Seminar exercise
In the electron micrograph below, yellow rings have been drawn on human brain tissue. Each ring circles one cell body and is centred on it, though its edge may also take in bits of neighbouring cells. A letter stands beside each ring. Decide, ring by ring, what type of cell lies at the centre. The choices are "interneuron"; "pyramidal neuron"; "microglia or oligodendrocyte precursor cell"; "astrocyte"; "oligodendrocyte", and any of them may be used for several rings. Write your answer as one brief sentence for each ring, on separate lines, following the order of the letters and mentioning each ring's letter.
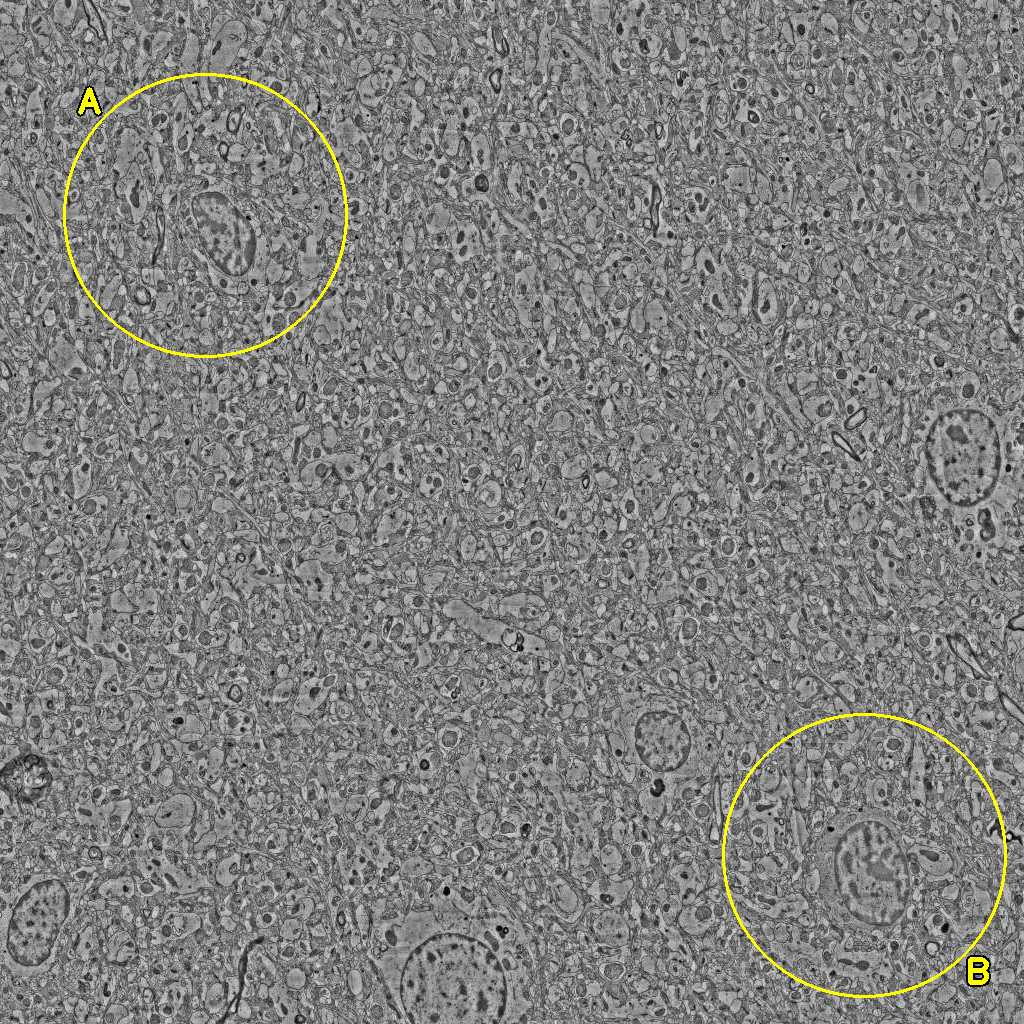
The cell in the middle of ring A is a microglial cell or oligodendrocyte precursor cell.
The cell in the middle of ring B is an oligodendrocyte.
